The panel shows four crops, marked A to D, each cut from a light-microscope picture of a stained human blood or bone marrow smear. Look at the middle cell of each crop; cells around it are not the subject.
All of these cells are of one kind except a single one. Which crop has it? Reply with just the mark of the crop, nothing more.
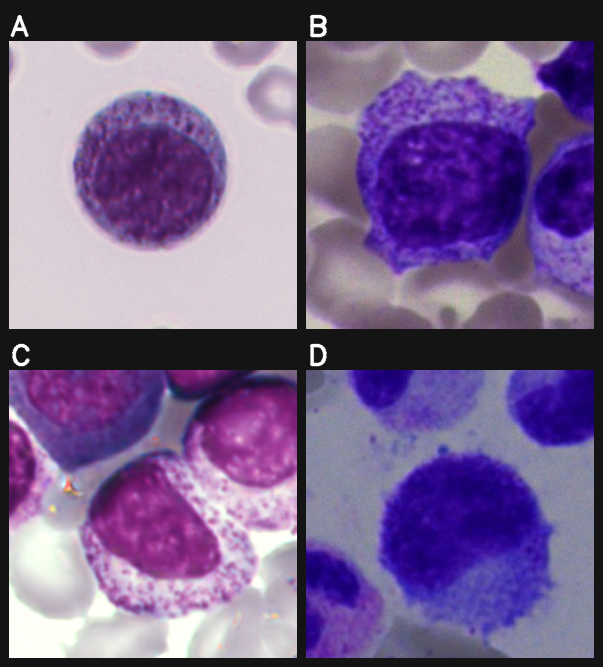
D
